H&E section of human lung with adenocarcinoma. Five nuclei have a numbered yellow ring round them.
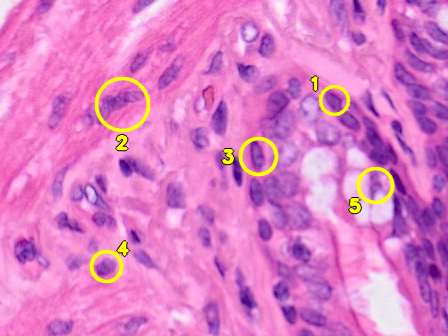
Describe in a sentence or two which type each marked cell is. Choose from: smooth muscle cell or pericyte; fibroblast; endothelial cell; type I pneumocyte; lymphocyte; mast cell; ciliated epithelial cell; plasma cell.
Cell 1 is a ciliated epithelial cell, cell 2 is a smooth muscle cell or pericyte, cell 3 is a ciliated epithelial cell, cell 4 is a smooth muscle cell or pericyte and cell 5 is a ciliated epithelial cell.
